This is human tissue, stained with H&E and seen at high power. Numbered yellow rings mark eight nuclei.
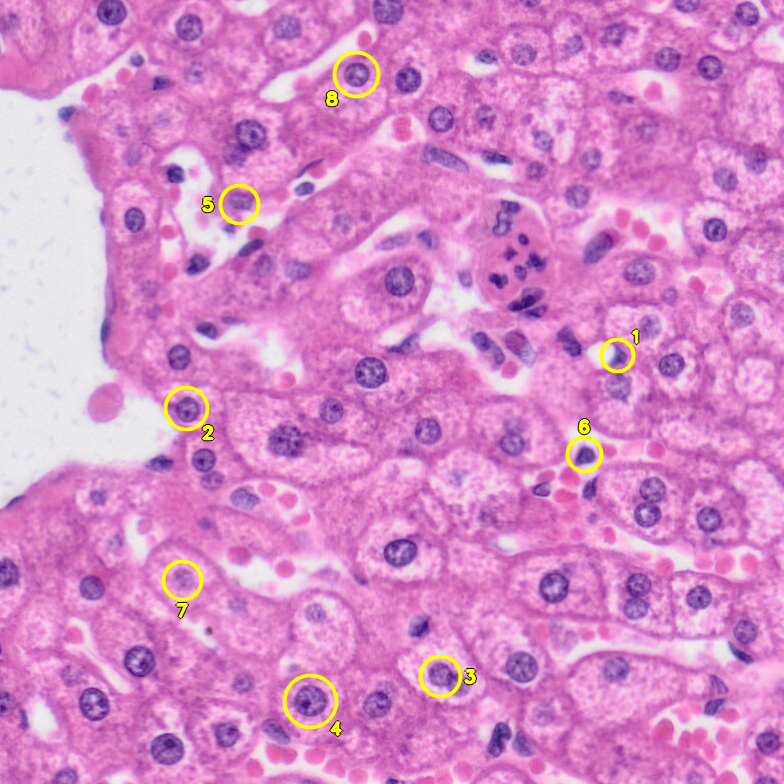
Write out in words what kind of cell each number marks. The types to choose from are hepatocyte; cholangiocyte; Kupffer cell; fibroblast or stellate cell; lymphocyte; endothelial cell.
Cell 1 is an endothelial cell. Cells 2, 3, 4, 7 and 8 are hepatocytes. Cell 5 is a Kupffer cell. Cell 6 is a lymphocyte.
